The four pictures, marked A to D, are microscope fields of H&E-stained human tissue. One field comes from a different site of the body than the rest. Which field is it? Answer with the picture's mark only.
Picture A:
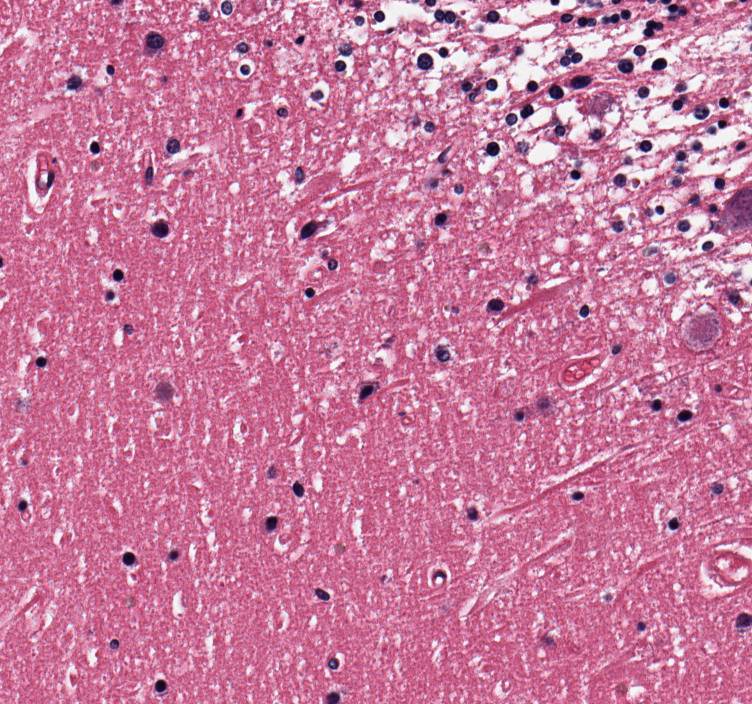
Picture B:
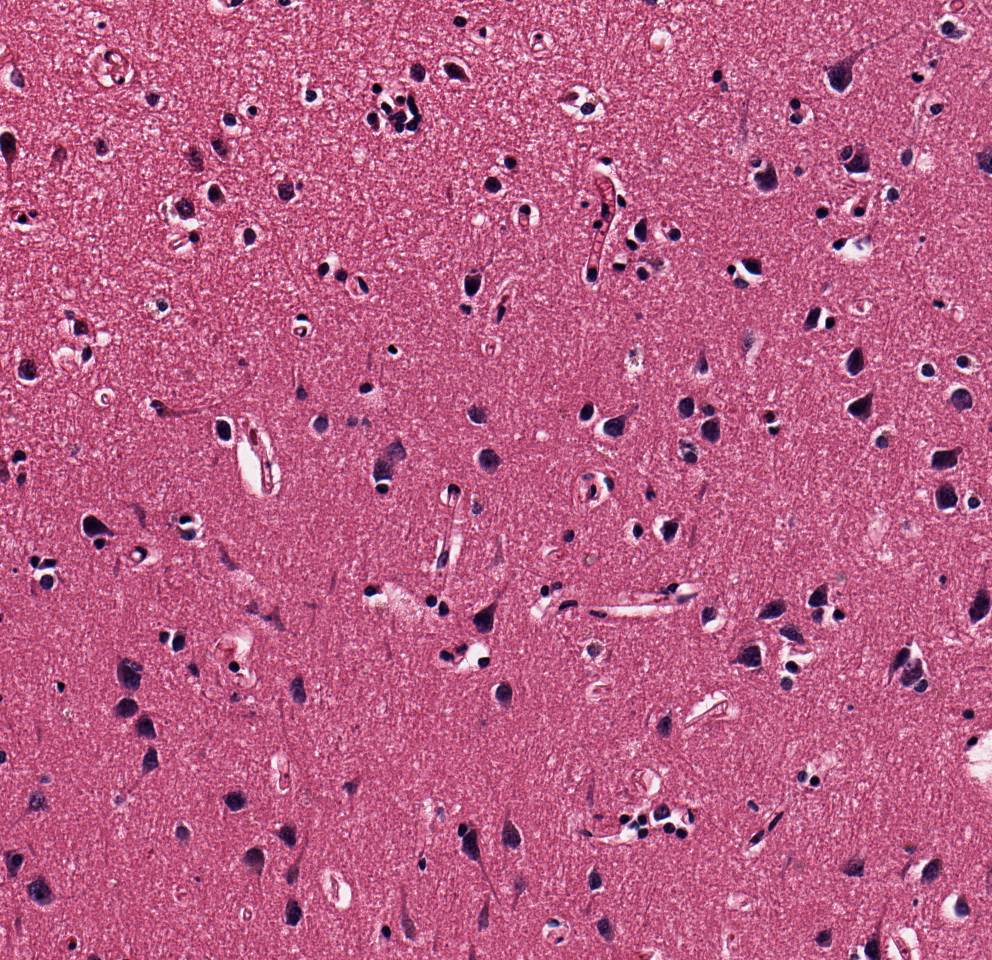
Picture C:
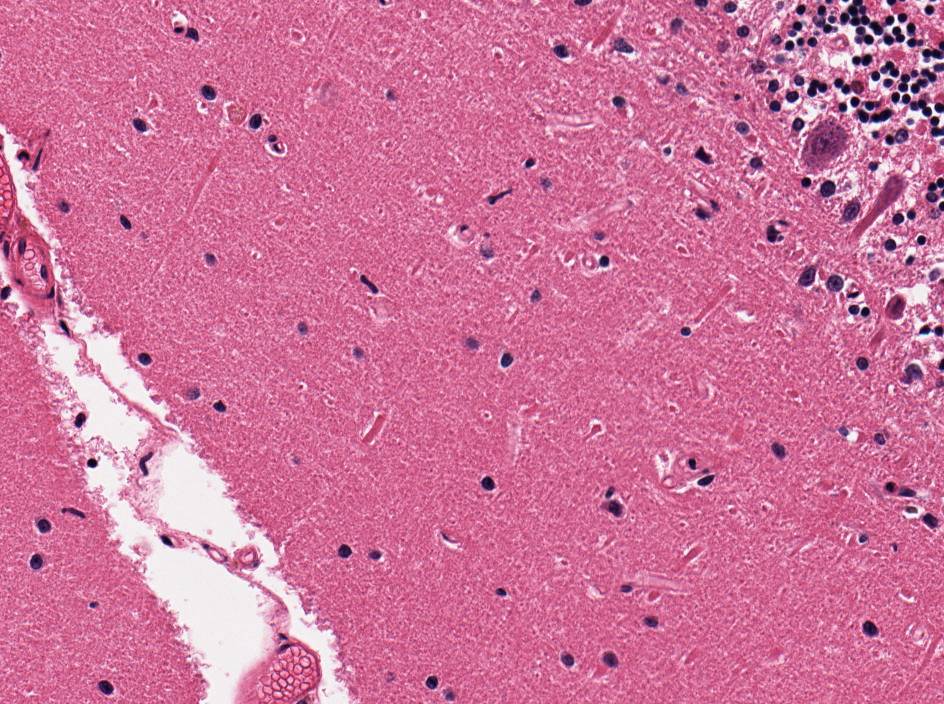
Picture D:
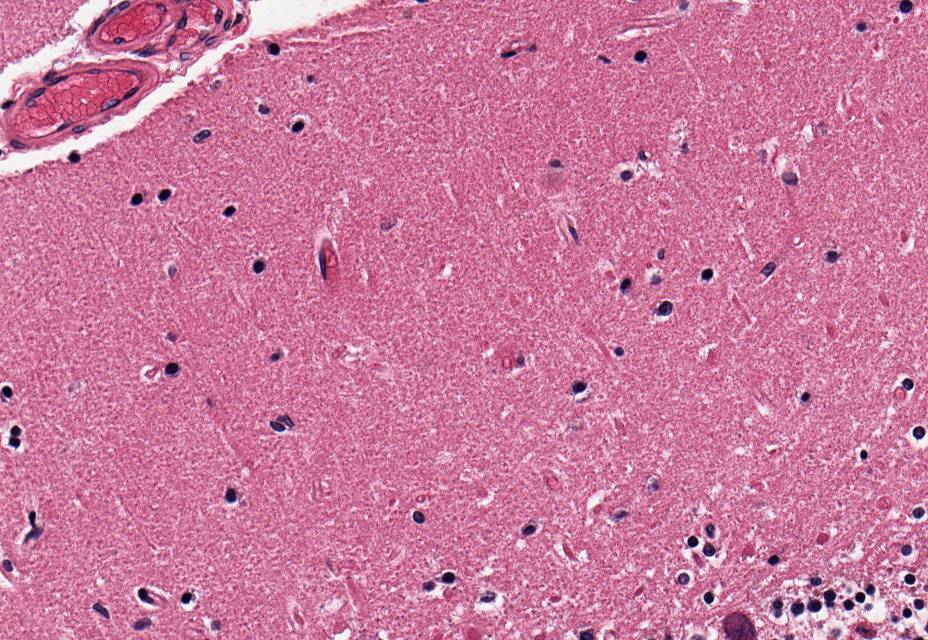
B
